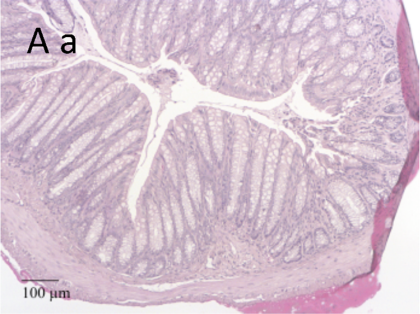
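This is a cross-section of the colon wall. Tubular crypts sit side by side in the mucosa and radiate around a branching, star-shaped central lumen. The crypts are lined by columnar epithelium with many pale goblet cells, and their purple nuclei lie toward the base. Beneath the mucosa lies a thin, pink band of submucosa and an outer muscular layer. The crypts are regularly arranged, and no large pale expanses of loose tissue are evident.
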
